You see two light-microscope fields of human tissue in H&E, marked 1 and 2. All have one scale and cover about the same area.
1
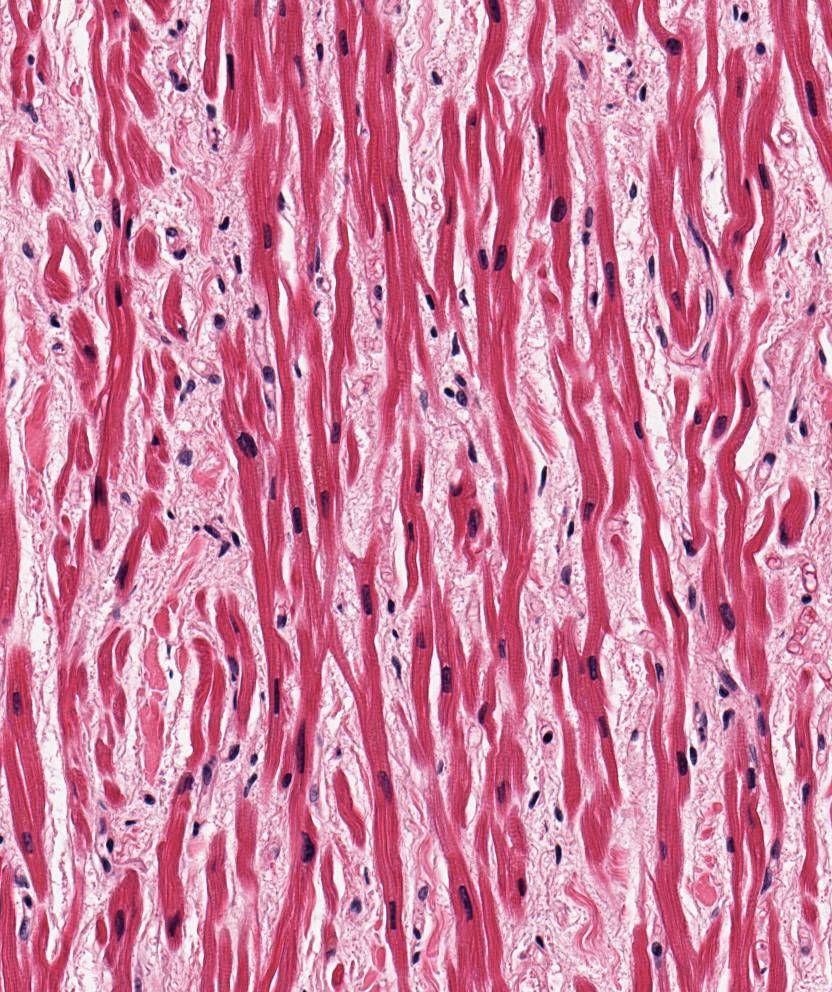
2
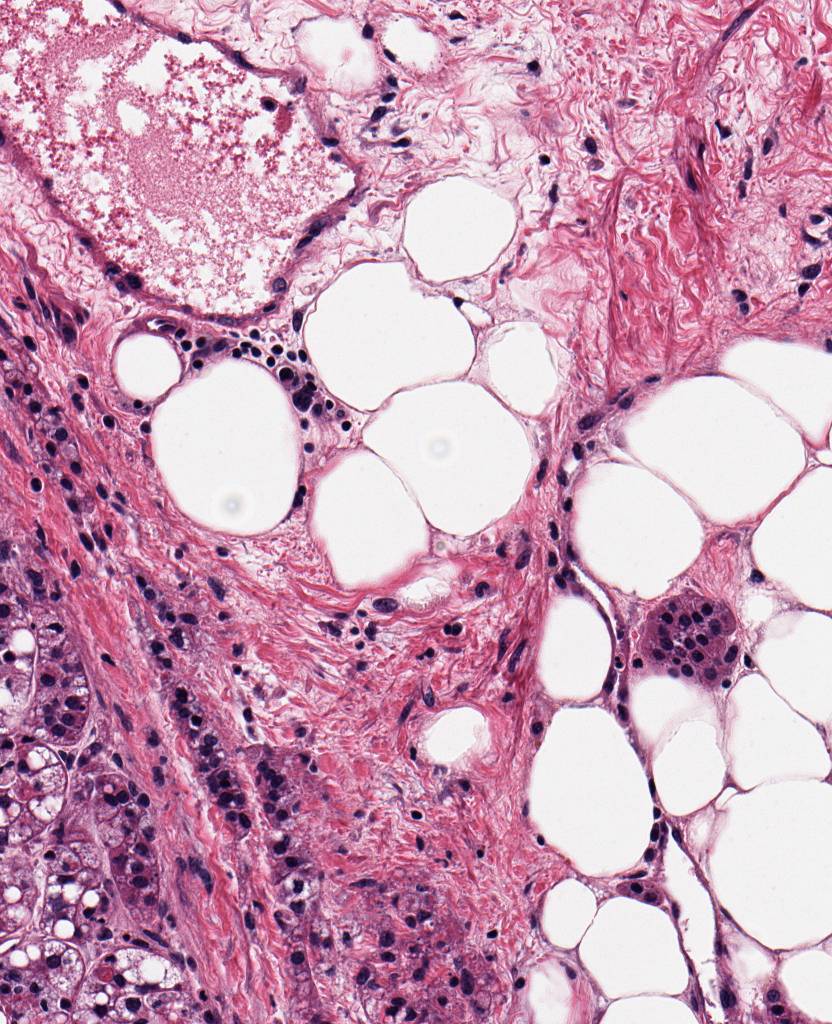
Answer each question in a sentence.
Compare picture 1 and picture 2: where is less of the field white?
Less of picture 1 is empty and white.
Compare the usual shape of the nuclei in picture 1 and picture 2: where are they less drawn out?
Rounder nuclei lie in picture 2.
